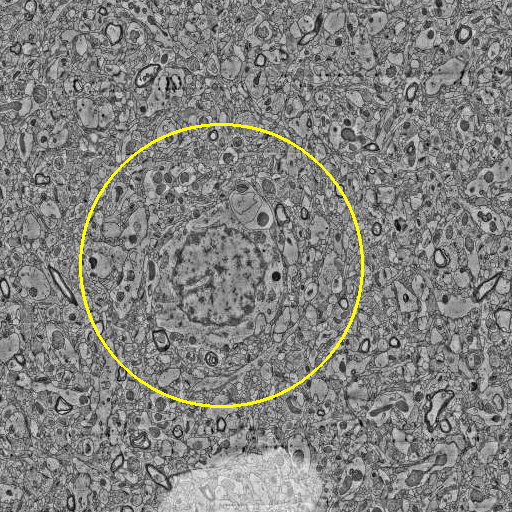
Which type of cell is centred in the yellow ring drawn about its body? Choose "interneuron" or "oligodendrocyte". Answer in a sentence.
The yellow ring surrounds the cell body of an interneuron.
